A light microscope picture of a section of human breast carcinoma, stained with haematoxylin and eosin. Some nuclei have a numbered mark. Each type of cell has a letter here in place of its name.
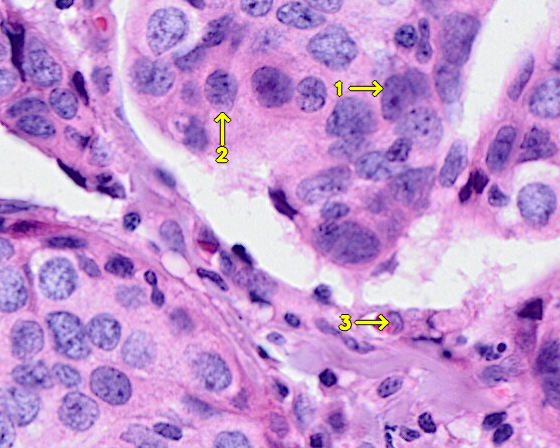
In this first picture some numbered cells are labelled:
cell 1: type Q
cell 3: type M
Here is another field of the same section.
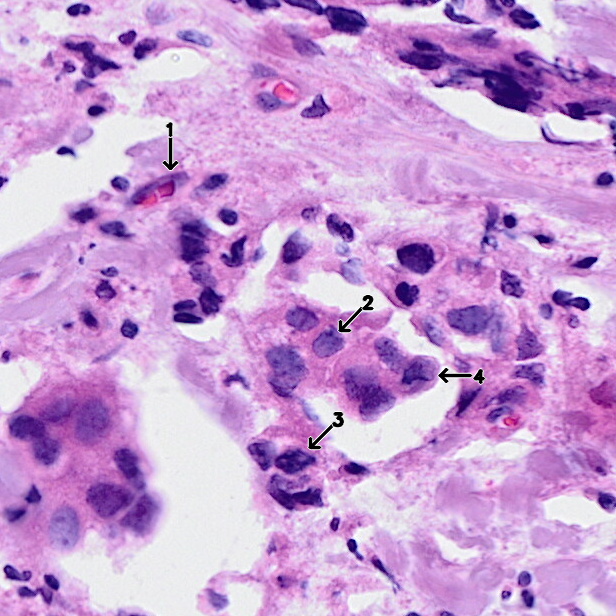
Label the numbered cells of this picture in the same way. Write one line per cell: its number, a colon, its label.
1: type M
2: type Q
3: type Q
4: type Q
